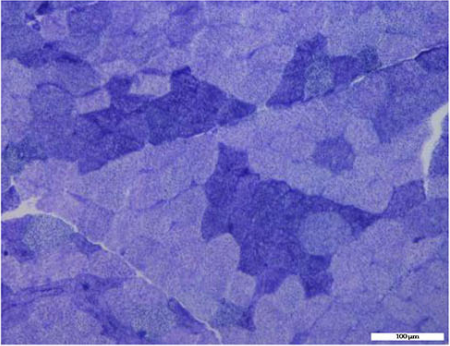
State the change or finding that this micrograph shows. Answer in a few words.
Grouping fibers.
